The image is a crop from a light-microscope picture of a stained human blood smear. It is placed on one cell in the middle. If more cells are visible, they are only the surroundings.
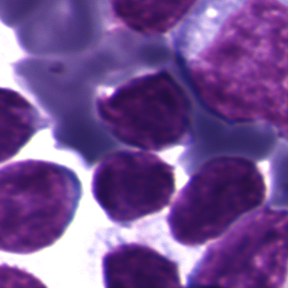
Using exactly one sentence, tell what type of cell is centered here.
The centered cell in this crop is a myeloblast.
